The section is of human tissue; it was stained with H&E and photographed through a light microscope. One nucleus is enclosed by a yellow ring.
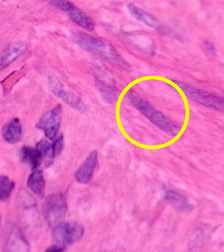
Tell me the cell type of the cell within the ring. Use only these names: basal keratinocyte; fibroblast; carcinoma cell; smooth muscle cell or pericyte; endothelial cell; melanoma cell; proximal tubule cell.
smooth muscle cell or pericyte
